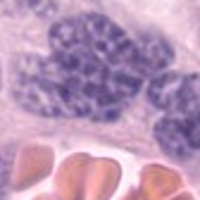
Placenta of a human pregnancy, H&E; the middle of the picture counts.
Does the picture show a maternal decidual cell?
No, it shows a syncytial knot.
